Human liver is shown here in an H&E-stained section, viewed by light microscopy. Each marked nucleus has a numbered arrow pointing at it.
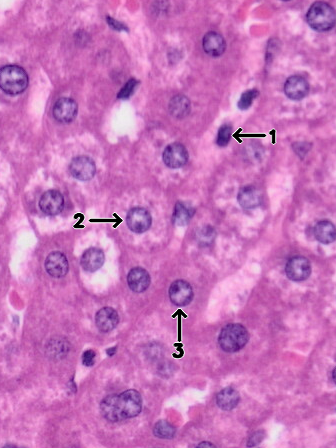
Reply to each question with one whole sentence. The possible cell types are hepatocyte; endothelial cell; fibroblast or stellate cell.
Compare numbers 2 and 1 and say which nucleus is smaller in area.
With nucleus 2 about 1.5 times its size, nucleus 1 is the smaller of the two.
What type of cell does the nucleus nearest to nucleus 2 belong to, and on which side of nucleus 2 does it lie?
It is an endothelial cell, whose nucleus lies to the right of nucleus 2.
